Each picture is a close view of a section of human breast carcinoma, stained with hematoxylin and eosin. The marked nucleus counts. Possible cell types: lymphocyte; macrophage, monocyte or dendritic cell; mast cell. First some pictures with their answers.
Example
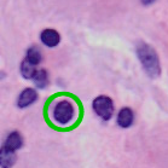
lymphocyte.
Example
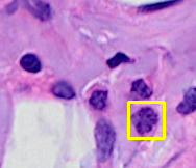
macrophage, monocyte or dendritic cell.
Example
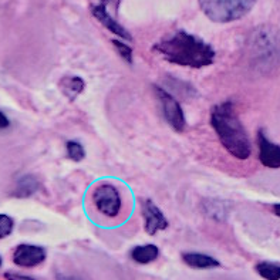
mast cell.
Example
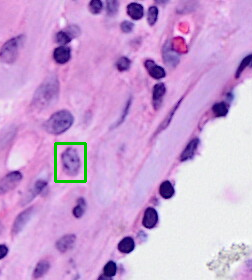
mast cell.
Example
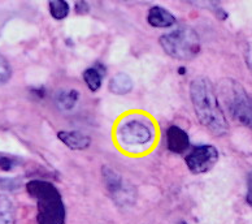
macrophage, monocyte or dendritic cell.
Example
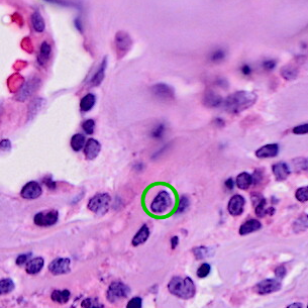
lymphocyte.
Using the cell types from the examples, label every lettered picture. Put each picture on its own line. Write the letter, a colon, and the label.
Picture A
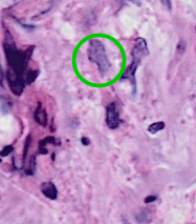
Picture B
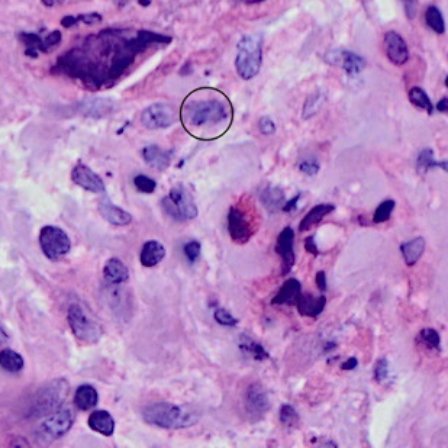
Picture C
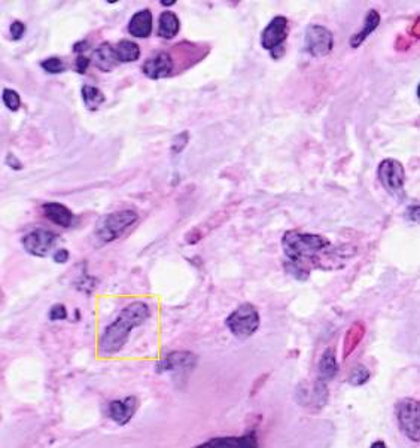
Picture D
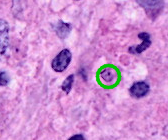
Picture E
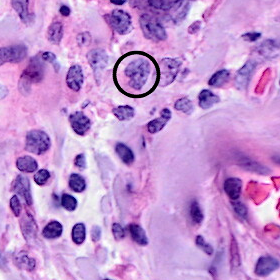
A: macrophage, monocyte or dendritic cell.
B: macrophage, monocyte or dendritic cell.
C: macrophage, monocyte or dendritic cell.
D: macrophage, monocyte or dendritic cell.
E: macrophage, monocyte or dendritic cell.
